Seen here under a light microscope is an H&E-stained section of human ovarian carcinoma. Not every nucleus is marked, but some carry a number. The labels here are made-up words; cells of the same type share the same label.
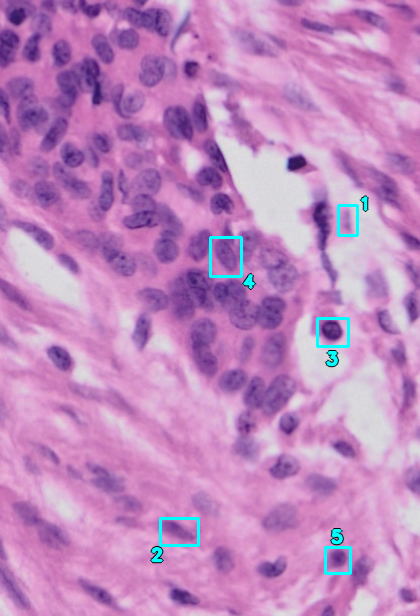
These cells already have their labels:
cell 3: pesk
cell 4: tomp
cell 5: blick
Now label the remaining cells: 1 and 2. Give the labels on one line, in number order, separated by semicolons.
blick; blick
